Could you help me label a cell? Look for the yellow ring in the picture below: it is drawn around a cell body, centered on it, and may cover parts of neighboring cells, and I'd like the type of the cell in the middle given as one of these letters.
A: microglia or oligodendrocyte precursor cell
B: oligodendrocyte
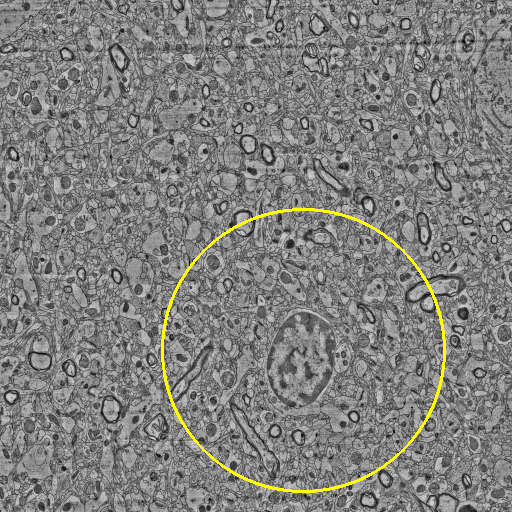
A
